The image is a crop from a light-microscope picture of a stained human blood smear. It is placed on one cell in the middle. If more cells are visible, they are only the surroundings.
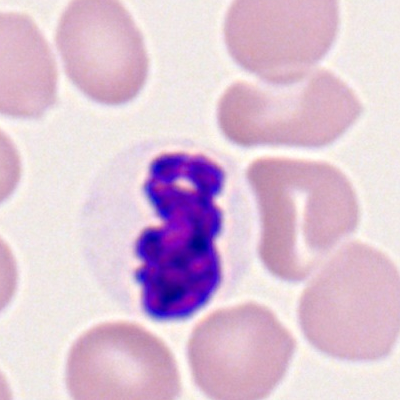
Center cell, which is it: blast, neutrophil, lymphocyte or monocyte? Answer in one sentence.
The centered cell in this crop is a neutrophil.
